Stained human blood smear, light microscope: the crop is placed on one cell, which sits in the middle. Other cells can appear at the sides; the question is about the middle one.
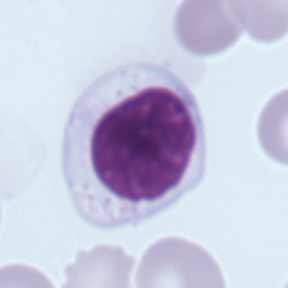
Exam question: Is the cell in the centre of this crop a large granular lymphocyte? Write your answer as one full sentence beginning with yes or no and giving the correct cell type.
Yes, the cell found at the centre of the crop is a large granular lymphocyte.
